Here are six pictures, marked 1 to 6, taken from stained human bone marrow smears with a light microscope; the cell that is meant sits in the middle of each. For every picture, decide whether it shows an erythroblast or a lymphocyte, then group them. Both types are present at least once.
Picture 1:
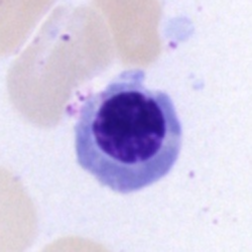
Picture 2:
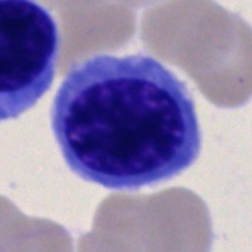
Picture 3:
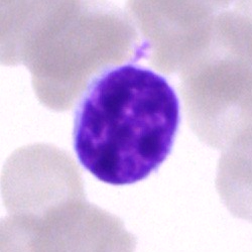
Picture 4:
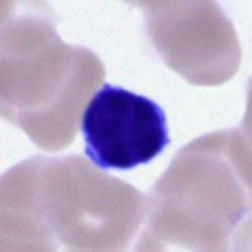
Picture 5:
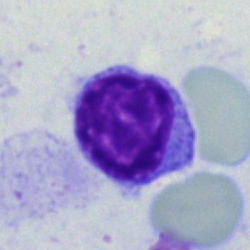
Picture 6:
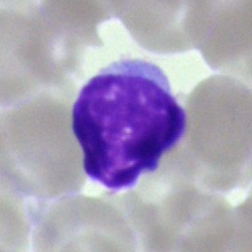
1: erythroblast
2: erythroblast
3: lymphocyte
4: lymphocyte
5: lymphocyte
6: lymphocyte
